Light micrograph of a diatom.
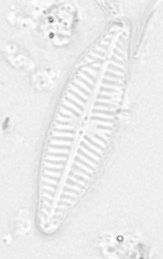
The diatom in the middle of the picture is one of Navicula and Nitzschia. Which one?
Navicula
